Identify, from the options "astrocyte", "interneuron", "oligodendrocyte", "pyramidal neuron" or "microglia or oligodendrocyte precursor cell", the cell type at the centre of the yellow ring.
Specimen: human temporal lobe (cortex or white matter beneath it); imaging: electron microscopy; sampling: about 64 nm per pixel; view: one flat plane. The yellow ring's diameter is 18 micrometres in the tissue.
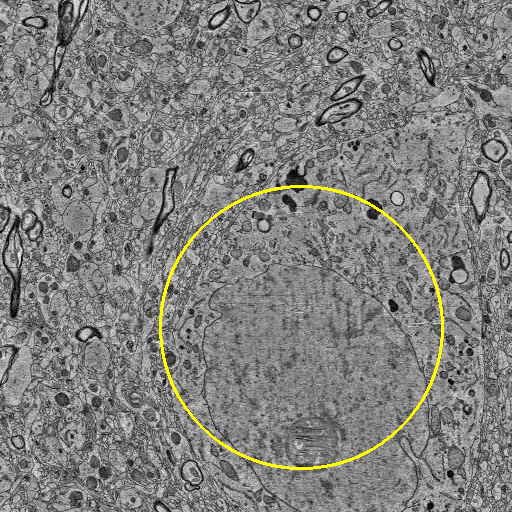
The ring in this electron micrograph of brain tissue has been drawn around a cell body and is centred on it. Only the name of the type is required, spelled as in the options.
pyramidal neuron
